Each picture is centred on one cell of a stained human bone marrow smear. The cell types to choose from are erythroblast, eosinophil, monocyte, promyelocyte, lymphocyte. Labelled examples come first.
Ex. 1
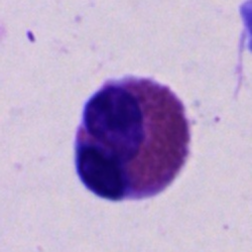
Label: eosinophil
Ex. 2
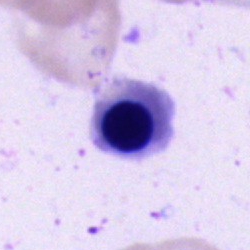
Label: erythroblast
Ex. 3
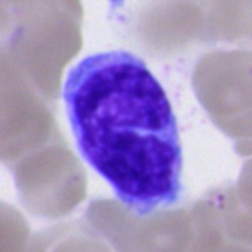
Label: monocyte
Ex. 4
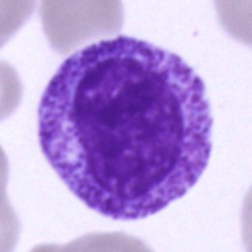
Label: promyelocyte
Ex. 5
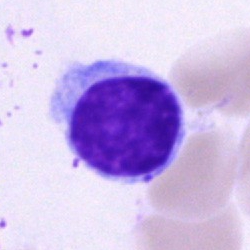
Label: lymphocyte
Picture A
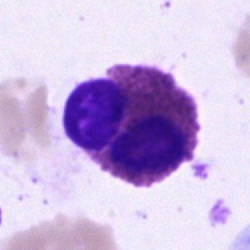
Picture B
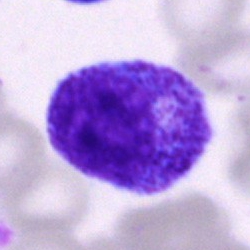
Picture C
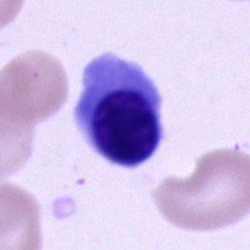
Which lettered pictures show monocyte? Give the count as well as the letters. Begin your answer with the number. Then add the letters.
0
